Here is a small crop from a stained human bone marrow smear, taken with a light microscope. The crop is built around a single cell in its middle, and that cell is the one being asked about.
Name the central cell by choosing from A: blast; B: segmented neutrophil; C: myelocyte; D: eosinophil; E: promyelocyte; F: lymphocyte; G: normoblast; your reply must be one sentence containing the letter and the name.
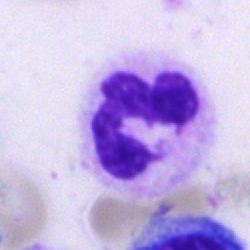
The centrally positioned cell is a segmented neutrophil, consistent with option B, which is correct.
